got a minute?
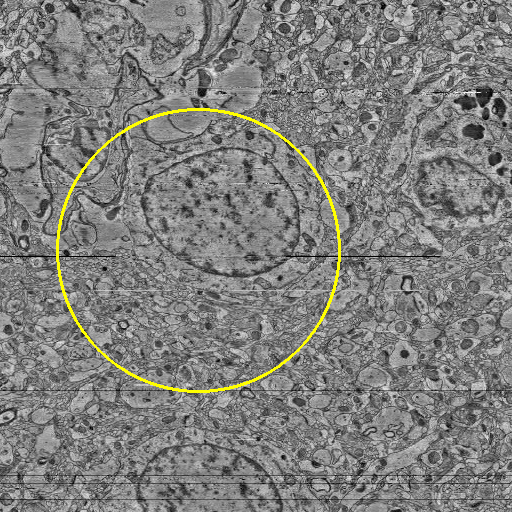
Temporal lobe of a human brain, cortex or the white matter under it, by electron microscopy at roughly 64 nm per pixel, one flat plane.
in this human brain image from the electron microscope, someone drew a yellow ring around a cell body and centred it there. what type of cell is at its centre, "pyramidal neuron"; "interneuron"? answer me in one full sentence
It's a pyramidal neuron at the middle of that yellow ring in the shot.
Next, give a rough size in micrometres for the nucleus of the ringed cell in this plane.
In this plane the nucleus spans approximately 10 by 8 micrometers.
